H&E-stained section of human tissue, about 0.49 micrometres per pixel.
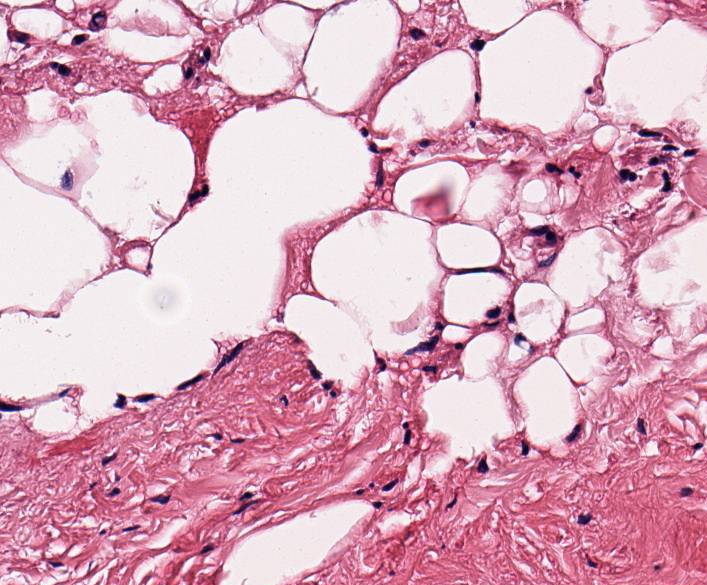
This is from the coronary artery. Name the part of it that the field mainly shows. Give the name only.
fat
